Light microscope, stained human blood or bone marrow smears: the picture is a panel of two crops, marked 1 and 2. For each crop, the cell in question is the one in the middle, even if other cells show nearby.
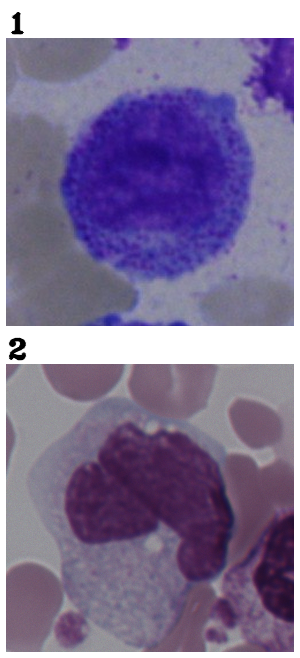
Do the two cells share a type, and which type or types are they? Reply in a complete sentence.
No, crop 1 represents a myelocyte, and crop 2 represents a monocyte.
